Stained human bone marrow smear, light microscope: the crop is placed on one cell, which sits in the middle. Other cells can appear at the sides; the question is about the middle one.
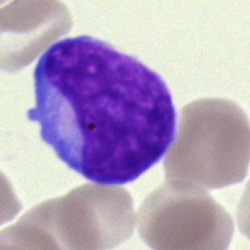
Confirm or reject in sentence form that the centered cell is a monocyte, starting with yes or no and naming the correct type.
No, the cell in the middle is categorised as a blast, not a monocyte.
